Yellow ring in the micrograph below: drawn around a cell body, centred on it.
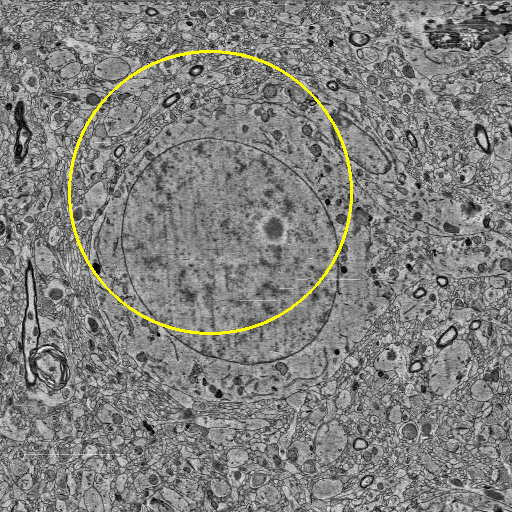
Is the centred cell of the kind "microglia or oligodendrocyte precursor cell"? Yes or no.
no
